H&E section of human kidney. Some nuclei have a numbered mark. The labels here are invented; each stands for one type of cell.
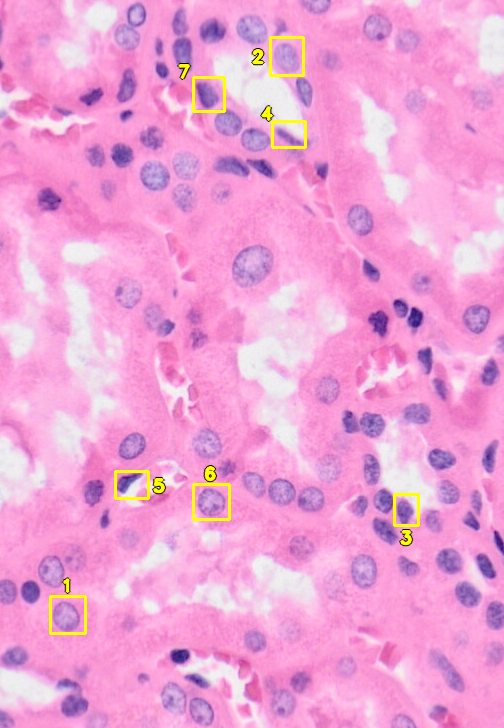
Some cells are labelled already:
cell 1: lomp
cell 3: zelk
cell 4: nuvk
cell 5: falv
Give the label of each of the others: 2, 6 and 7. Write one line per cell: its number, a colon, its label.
2: nuvk
6: lomp
7: nuvk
